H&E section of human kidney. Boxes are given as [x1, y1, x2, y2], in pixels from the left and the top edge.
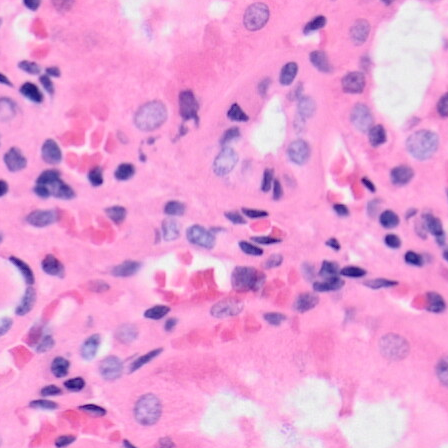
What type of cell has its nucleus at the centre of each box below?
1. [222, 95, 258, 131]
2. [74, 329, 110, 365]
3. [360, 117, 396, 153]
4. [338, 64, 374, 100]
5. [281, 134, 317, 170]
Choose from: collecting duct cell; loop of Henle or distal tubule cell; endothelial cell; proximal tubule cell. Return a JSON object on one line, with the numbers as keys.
{"1": "collecting duct cell", "2": "loop of Henle or distal tubule cell", "3": "loop of Henle or distal tubule cell", "4": "loop of Henle or distal tubule cell", "5": "collecting duct cell"}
